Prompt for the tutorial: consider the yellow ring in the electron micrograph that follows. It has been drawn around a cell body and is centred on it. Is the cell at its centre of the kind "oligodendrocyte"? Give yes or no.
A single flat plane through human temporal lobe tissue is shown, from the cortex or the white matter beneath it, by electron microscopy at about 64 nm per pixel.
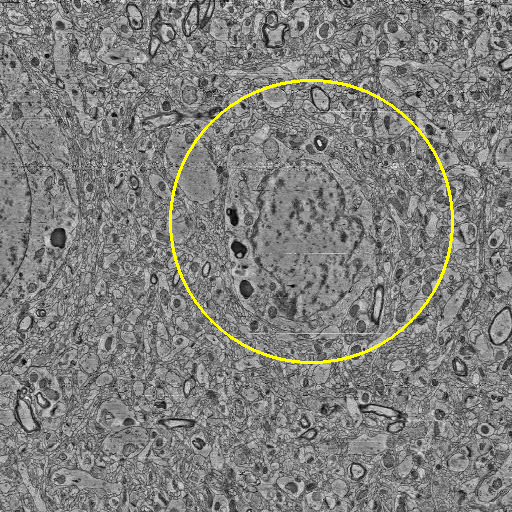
no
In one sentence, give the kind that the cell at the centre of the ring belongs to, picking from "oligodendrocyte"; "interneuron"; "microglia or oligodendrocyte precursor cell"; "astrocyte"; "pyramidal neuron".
Instead, the ringed cell here is an interneuron.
